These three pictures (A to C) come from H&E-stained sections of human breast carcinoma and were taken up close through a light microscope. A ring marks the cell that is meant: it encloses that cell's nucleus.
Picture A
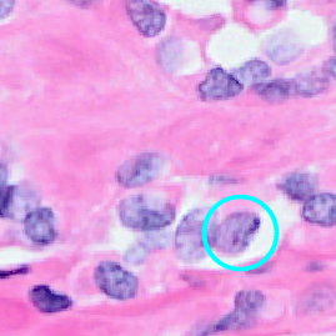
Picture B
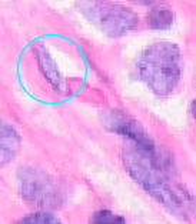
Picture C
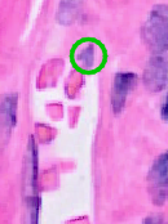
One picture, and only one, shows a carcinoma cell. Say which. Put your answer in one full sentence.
The picture with the carcinoma cell is A.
